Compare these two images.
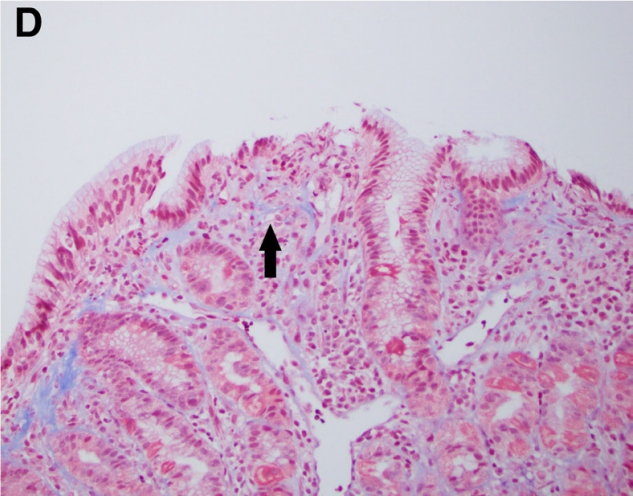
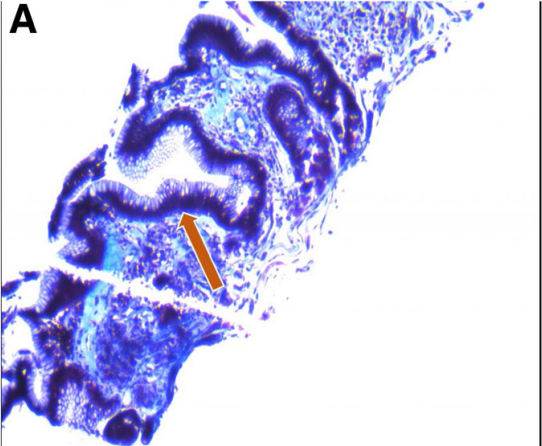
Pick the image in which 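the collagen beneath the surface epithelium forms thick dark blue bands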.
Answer: The second image.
